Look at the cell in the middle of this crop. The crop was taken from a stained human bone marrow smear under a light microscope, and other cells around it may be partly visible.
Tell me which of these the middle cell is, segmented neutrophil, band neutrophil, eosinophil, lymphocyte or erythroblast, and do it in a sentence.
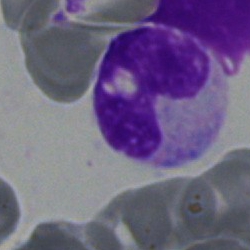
In this crop, the cell at the very middle is a band neutrophil.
